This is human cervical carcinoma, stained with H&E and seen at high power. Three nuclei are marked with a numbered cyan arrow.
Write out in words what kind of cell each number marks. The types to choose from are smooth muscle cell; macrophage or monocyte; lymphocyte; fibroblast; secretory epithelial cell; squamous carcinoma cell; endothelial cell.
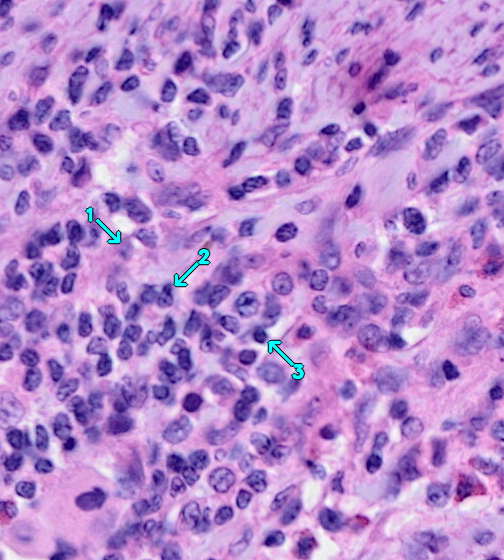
Cell 1 is an endothelial cell, cell 2 is a lymphocyte and cell 3 is a lymphocyte.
